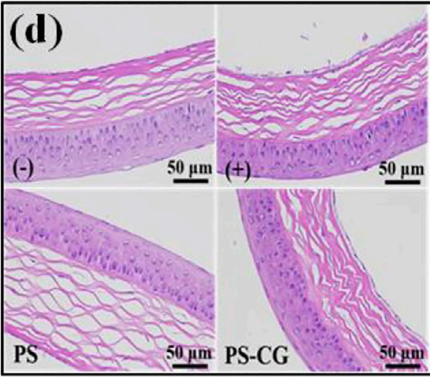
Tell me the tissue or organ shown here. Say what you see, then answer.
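A multilayered epithelium of densely packed purple nuclei lies along one surface. Beneath it runs a thick layer of pink, wavy, parallel lamellae with few flat nuclei. No blood vessels are seen in the lamellar layer.
Answer: corneal epithelium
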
